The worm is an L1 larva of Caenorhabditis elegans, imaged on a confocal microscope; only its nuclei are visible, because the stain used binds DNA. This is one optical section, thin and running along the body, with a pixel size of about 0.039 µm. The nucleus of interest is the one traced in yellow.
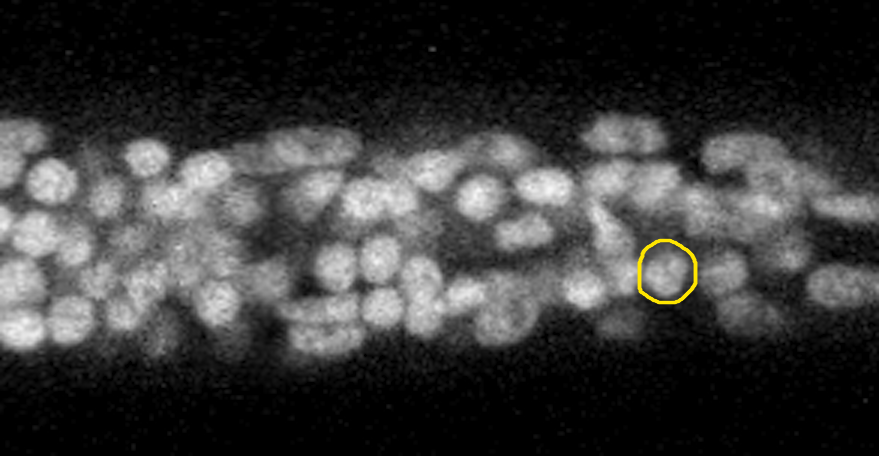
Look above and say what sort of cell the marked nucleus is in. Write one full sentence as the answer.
This is the nucleus of an arcade cell.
